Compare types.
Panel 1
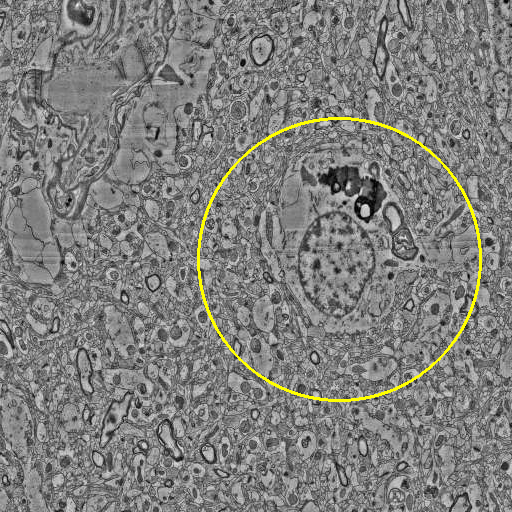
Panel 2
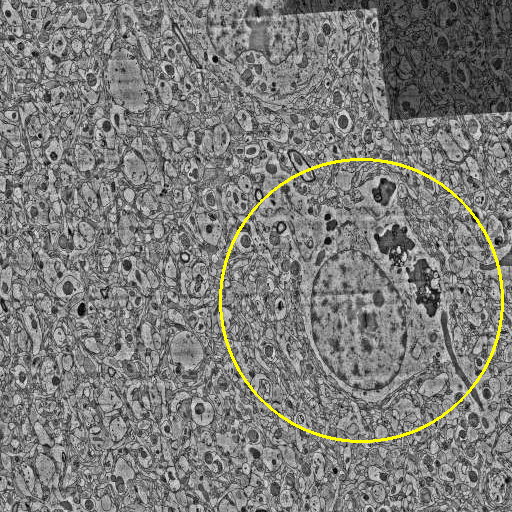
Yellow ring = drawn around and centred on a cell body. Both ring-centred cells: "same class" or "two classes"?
same class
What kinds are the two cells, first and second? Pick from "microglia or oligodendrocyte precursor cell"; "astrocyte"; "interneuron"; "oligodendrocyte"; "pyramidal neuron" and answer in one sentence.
Each of the two rings is centred on an astrocyte.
